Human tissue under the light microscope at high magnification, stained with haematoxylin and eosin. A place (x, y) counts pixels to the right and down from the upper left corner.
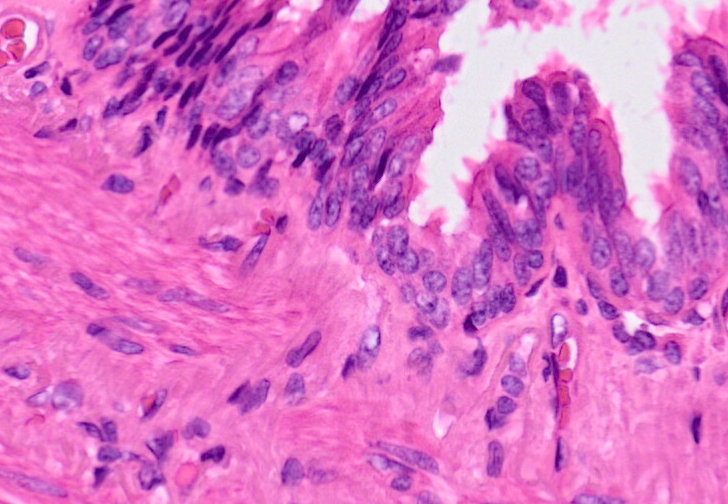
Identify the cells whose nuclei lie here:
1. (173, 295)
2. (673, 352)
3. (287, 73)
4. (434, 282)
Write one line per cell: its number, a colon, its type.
1: smooth muscle cell or pericyte
2: mast cell
3: ciliated epithelial cell
4: ciliated epithelial cell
